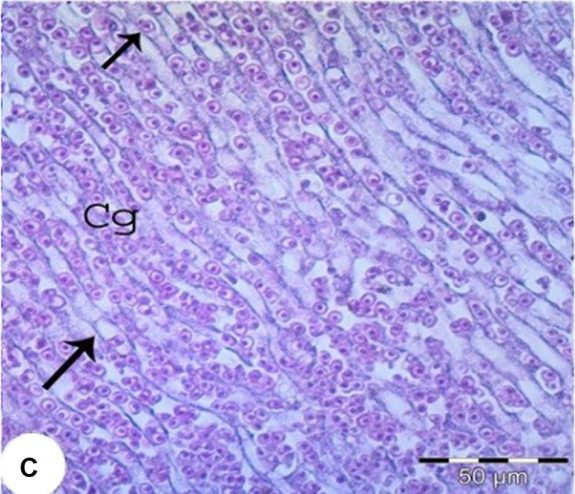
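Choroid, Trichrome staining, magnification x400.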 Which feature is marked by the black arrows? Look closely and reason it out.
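The arrows point to narrow pale channels running between rows of tissue. Oval cells with dark central nuclei lie lined up inside these channels.
Conclusion: blood capillaries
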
